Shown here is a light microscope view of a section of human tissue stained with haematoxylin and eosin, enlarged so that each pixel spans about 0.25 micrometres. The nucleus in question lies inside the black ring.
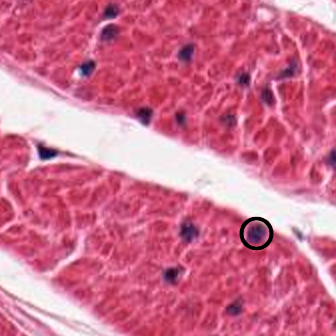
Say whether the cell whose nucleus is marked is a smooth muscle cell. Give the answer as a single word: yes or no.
yes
